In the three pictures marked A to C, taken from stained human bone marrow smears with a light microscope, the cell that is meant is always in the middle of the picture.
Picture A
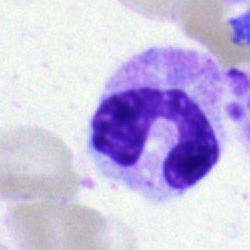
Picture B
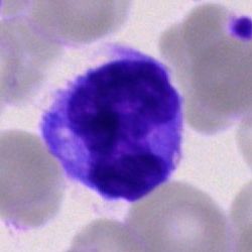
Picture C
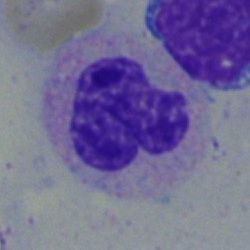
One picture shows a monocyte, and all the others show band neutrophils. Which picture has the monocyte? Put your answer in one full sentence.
Picture B is the one that shows the monocyte.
